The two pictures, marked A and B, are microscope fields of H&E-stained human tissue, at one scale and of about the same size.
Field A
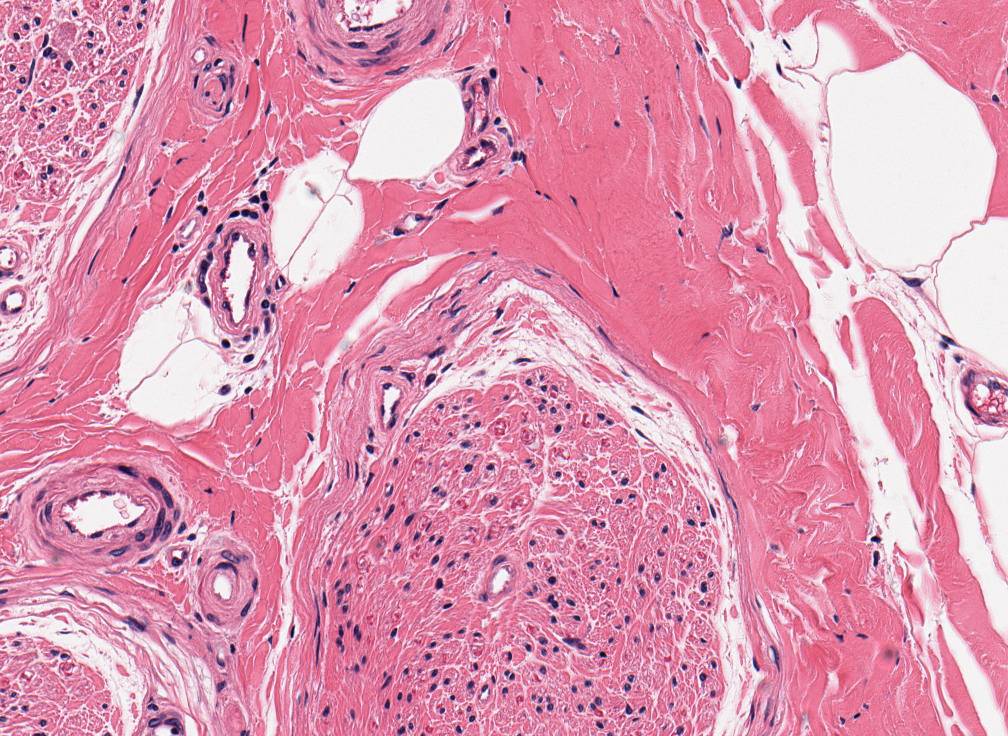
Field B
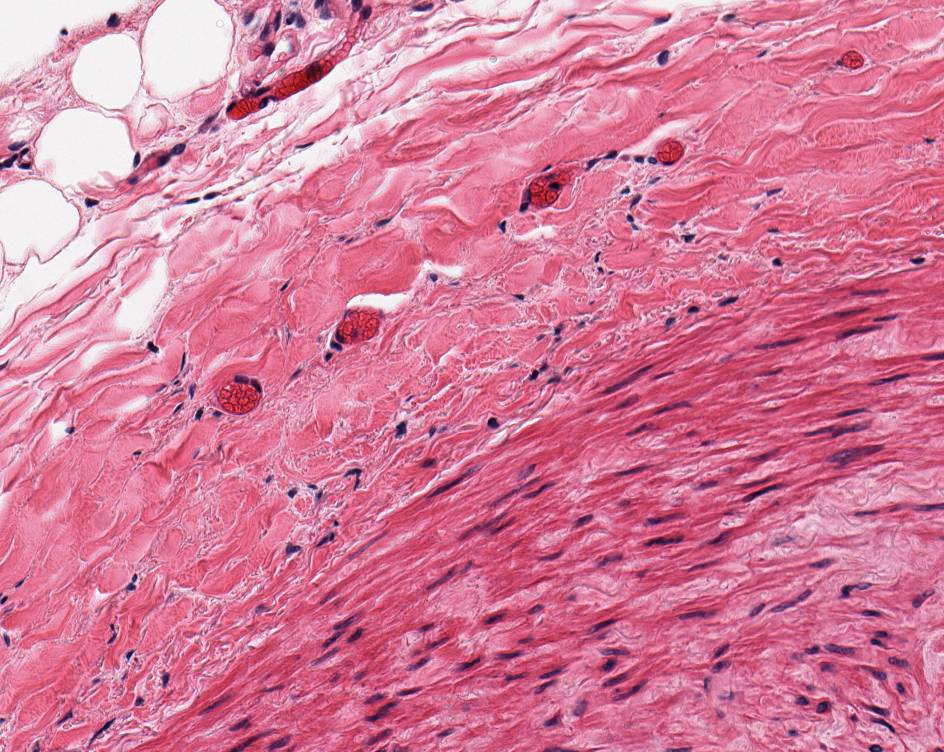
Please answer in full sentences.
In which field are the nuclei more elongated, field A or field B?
On the whole the nuclei of field B are more drawn out than those of field A.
